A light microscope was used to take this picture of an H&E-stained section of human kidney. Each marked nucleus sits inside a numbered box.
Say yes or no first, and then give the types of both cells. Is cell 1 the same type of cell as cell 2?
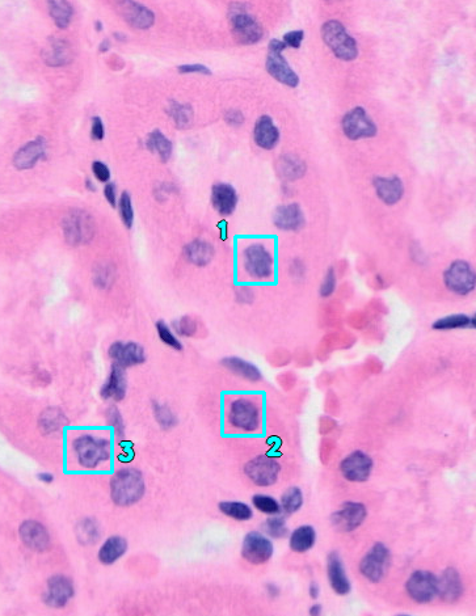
No, with respect, cell 1 is a loop of Henle or distal tubule cell and cell 2 is a proximal tubule cell.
